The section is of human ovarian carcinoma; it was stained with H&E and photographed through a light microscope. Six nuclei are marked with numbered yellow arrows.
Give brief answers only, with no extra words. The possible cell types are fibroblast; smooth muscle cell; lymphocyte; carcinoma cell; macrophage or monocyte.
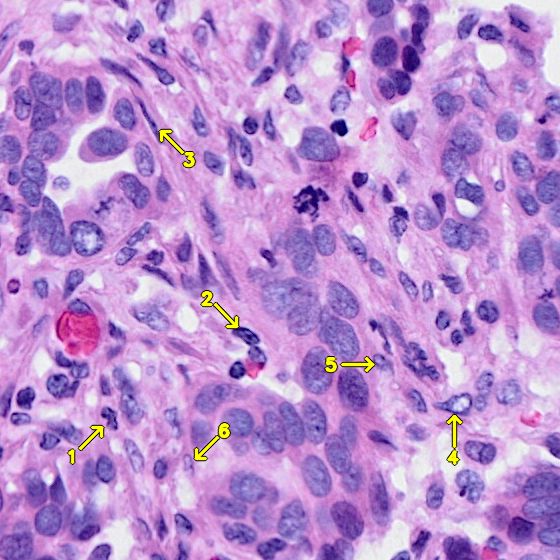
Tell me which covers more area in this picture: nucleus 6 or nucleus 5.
5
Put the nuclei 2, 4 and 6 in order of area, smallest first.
6, 2, 4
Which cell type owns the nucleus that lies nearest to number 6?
macrophage or monocyte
